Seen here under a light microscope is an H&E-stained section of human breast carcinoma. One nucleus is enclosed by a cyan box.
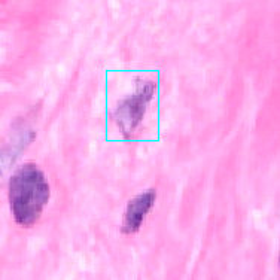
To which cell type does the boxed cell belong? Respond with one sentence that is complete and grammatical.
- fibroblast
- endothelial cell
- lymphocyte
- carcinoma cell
Assigned to a cell type, the boxed cell is a fibroblast.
